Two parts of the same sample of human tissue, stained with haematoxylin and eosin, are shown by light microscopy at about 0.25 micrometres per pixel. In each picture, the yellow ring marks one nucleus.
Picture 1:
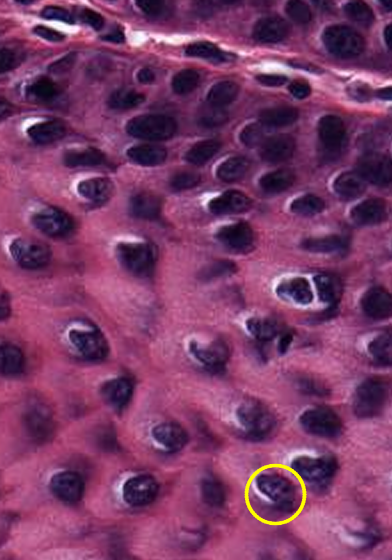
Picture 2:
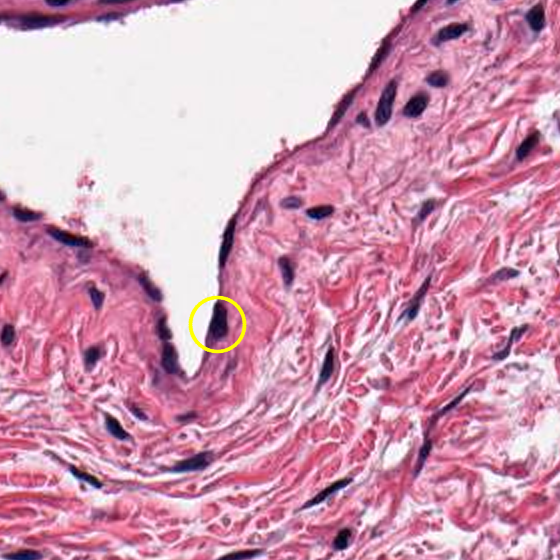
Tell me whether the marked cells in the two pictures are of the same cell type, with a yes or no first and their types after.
No, the first is a squamous epithelial cell and the second an endothelial cell.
